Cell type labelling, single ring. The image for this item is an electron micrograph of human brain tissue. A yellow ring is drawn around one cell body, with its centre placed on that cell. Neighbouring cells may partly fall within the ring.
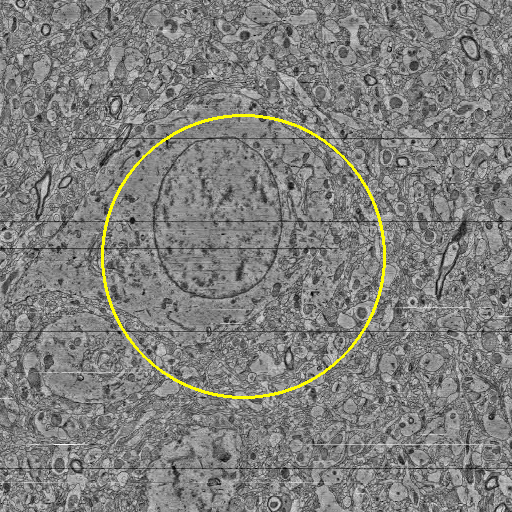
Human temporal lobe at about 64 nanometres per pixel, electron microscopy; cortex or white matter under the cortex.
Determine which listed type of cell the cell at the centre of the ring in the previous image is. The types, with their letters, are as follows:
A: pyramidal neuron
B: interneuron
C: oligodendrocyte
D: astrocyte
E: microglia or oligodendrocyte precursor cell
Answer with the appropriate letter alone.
A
